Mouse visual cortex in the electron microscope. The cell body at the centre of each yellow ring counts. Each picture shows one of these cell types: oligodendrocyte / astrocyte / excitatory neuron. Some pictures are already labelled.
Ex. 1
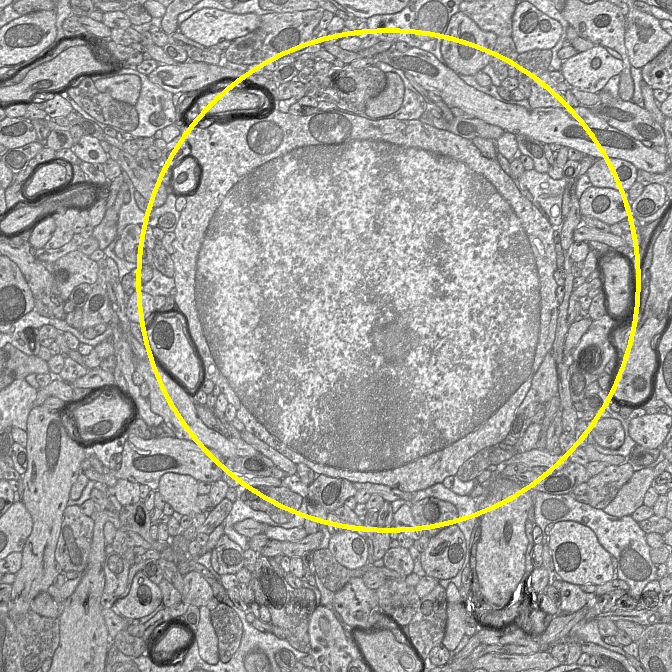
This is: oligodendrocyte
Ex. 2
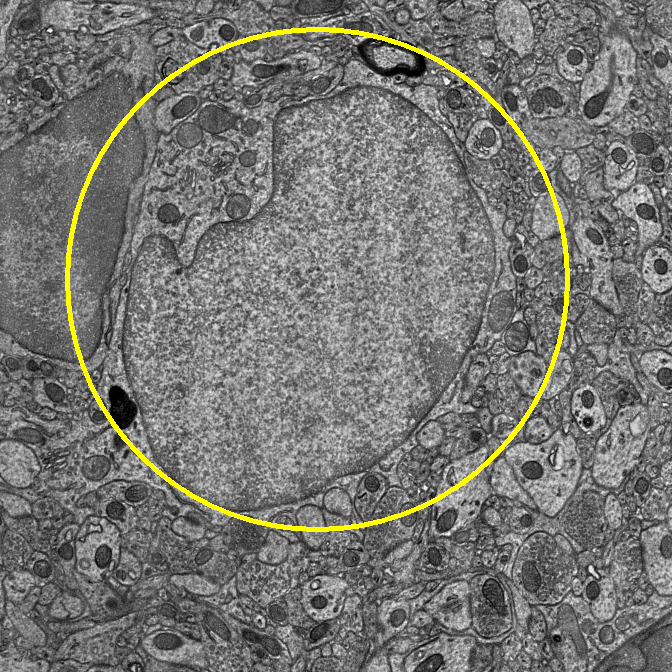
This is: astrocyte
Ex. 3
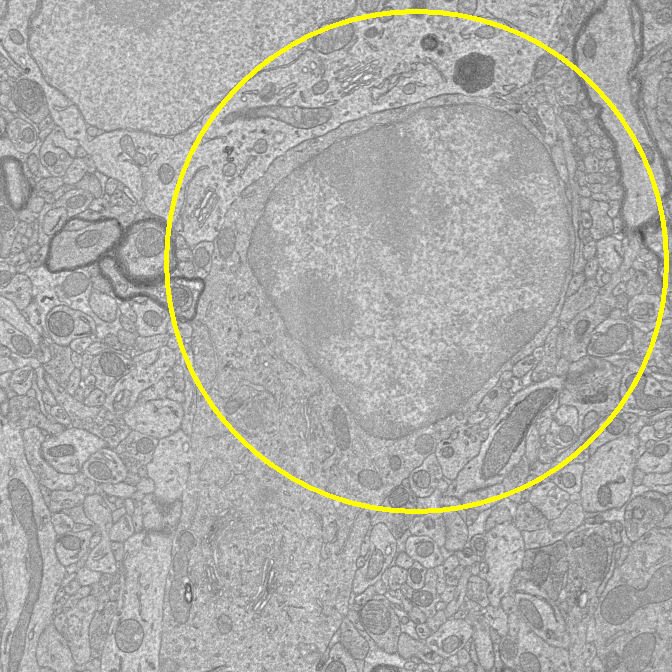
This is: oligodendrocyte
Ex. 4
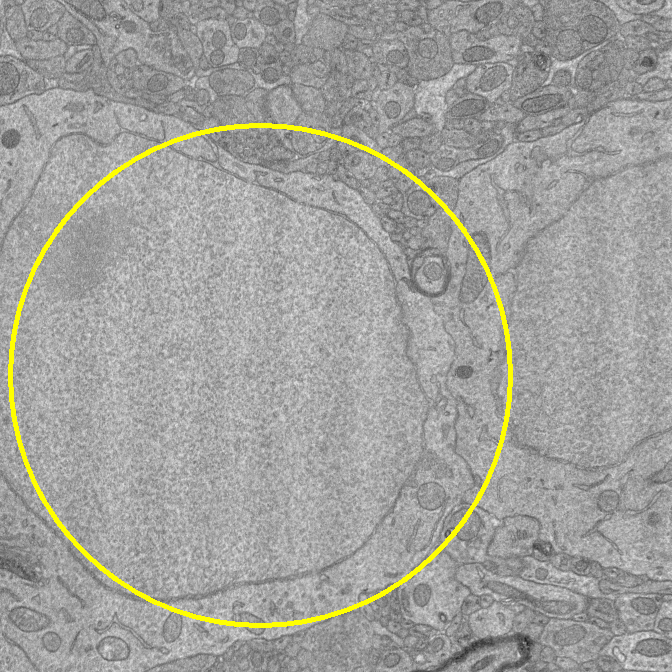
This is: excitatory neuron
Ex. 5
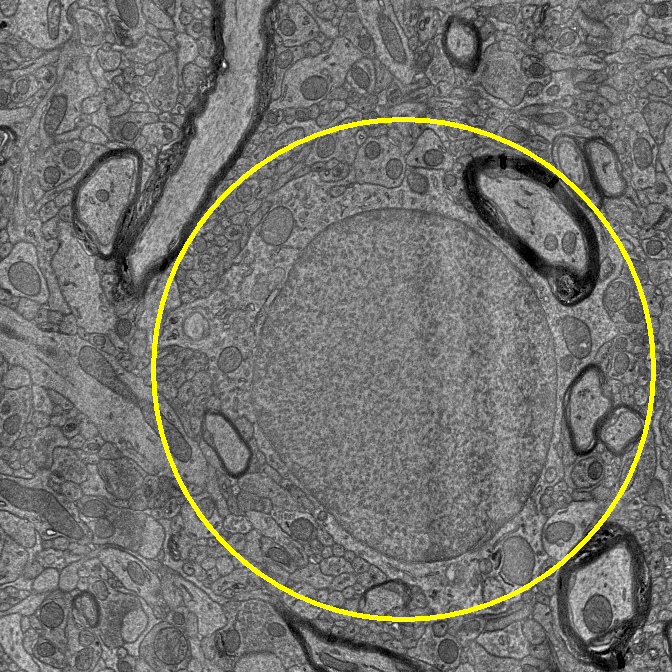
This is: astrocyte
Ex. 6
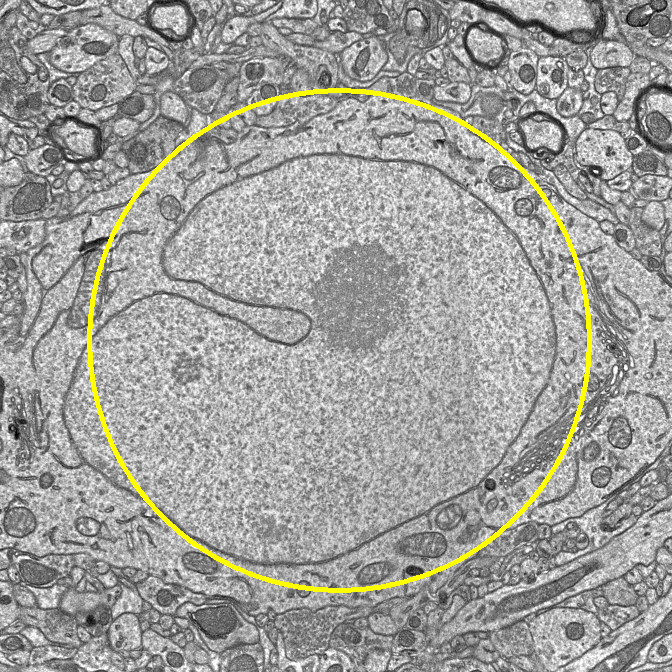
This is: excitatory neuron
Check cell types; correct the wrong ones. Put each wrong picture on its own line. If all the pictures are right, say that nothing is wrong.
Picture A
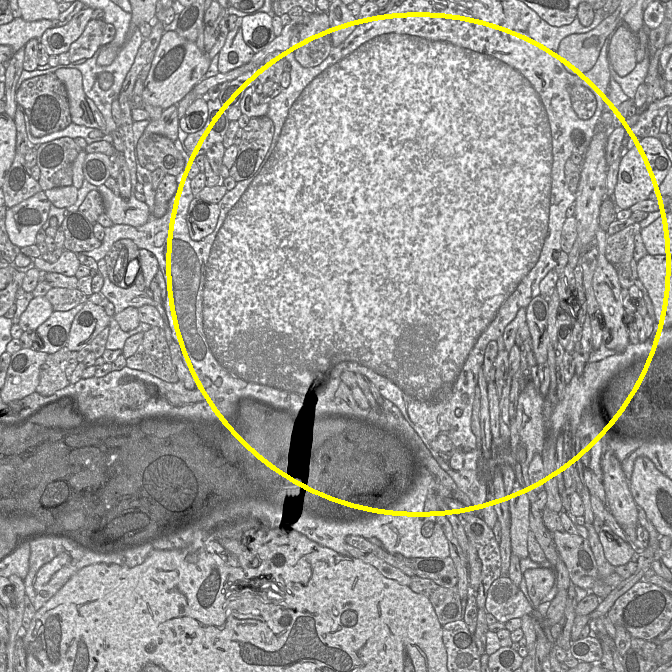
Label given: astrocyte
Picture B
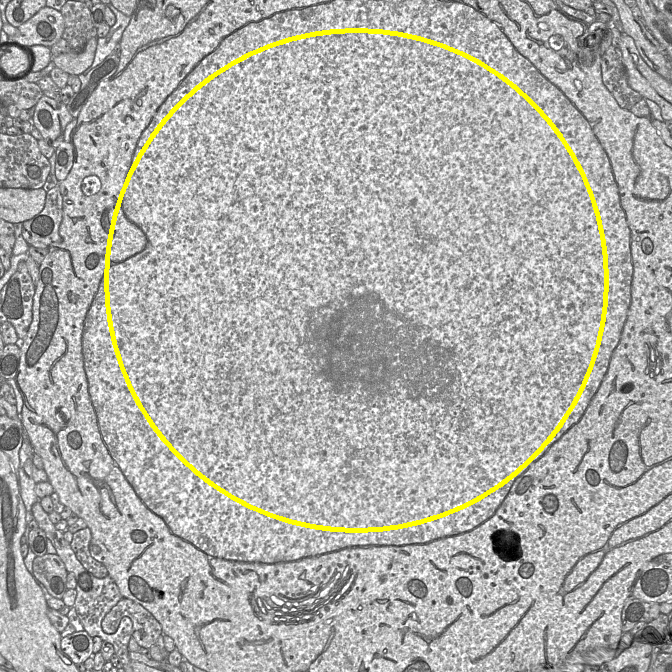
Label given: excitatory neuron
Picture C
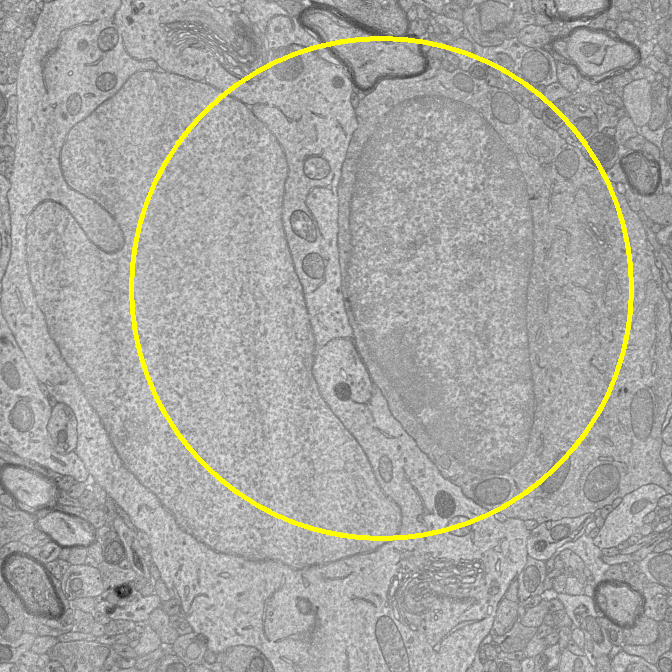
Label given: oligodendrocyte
Every label is right.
